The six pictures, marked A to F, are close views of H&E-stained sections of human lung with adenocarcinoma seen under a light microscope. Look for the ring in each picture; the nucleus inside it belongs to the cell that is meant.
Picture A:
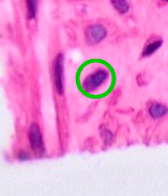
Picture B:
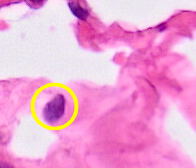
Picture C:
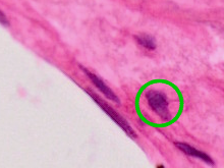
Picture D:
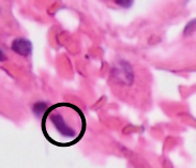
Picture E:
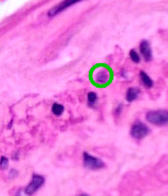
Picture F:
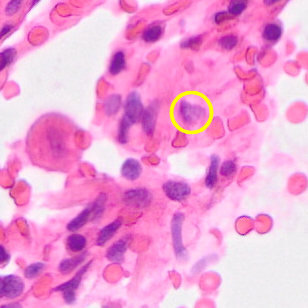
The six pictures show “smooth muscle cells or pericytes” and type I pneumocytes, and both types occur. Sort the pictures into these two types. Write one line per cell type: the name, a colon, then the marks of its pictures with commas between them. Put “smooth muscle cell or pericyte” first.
smooth muscle cell or pericyte: A, C, E
type I pneumocyte: B, D, F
